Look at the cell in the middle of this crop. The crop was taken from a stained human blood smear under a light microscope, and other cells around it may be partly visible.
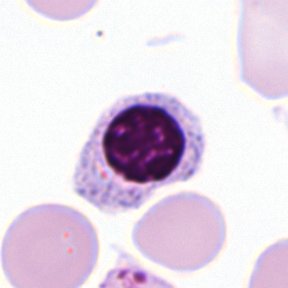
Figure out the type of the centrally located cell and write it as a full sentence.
This crop's central cell is a normoblast.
